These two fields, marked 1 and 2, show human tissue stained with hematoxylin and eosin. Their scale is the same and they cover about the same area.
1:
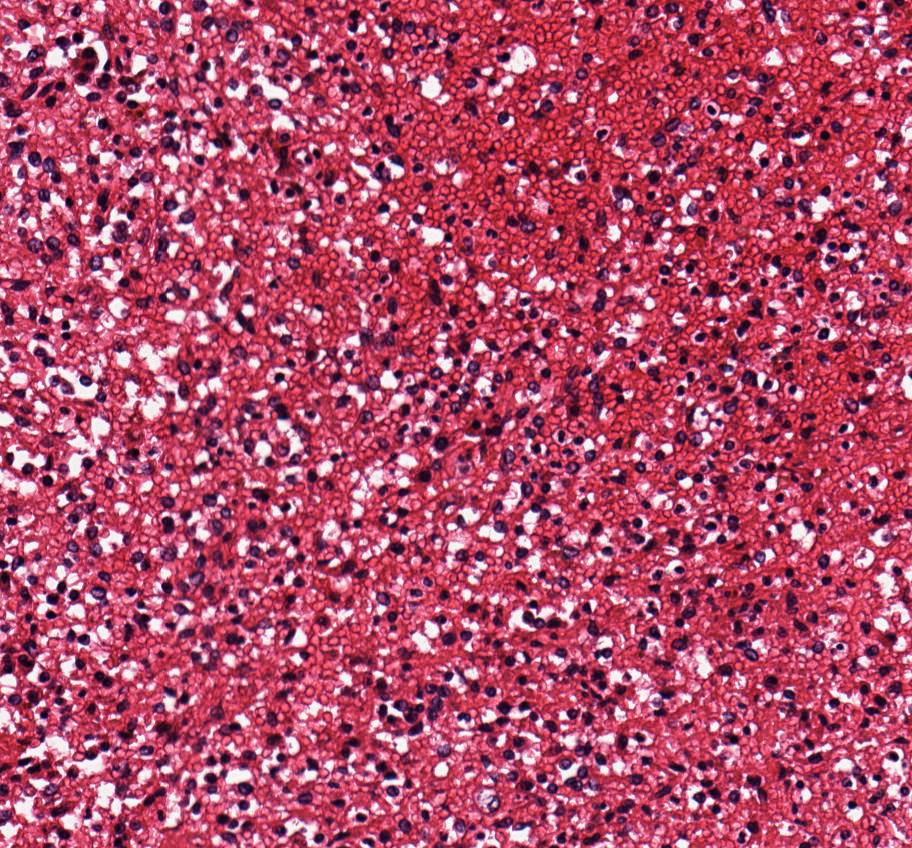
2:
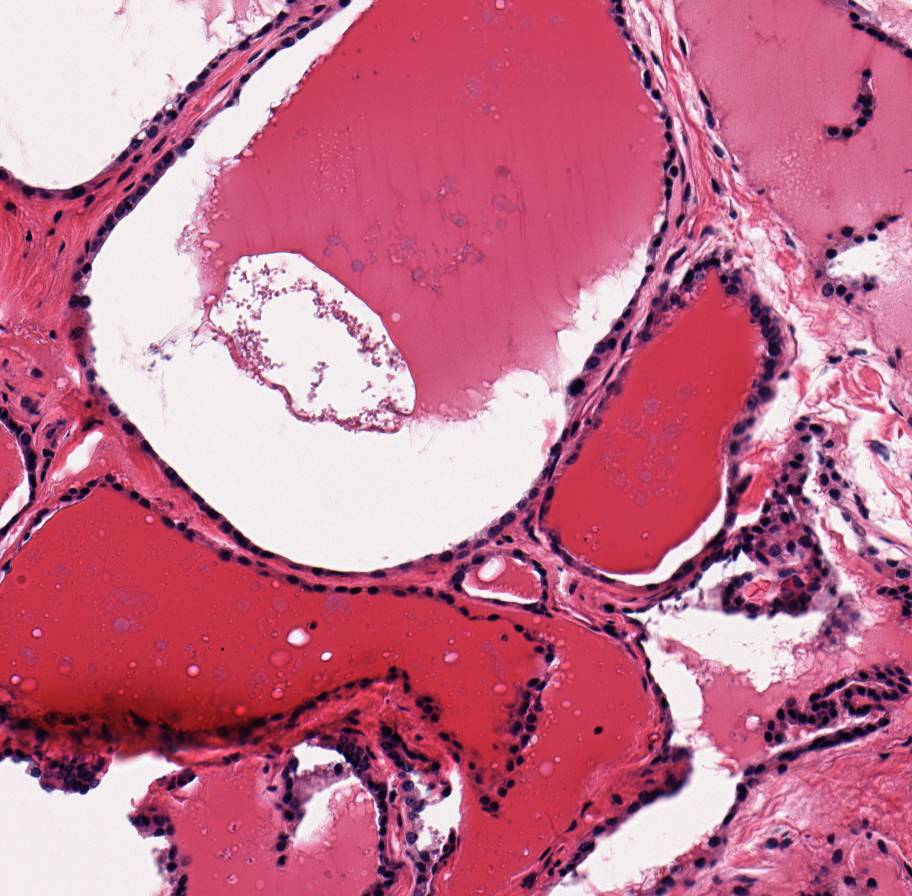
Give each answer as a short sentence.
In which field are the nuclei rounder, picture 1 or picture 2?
Rounder nuclei lie in picture 1.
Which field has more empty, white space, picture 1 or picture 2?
Unstained space takes up more of picture 2 than of picture 1.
